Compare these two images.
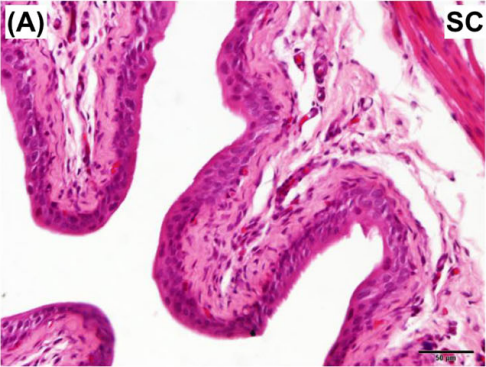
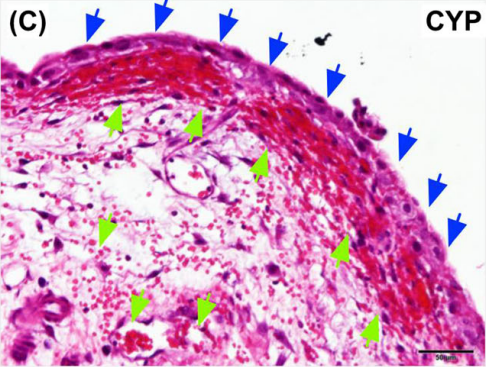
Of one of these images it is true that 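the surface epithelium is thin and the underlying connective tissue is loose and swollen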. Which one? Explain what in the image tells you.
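The second image. Second image: a thin surface epithelium over pale, loose, swollen connective tissue with scattered red blood cells. First image: folded mucosa with a thick multilayered epithelium over compact pink connective tissue.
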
